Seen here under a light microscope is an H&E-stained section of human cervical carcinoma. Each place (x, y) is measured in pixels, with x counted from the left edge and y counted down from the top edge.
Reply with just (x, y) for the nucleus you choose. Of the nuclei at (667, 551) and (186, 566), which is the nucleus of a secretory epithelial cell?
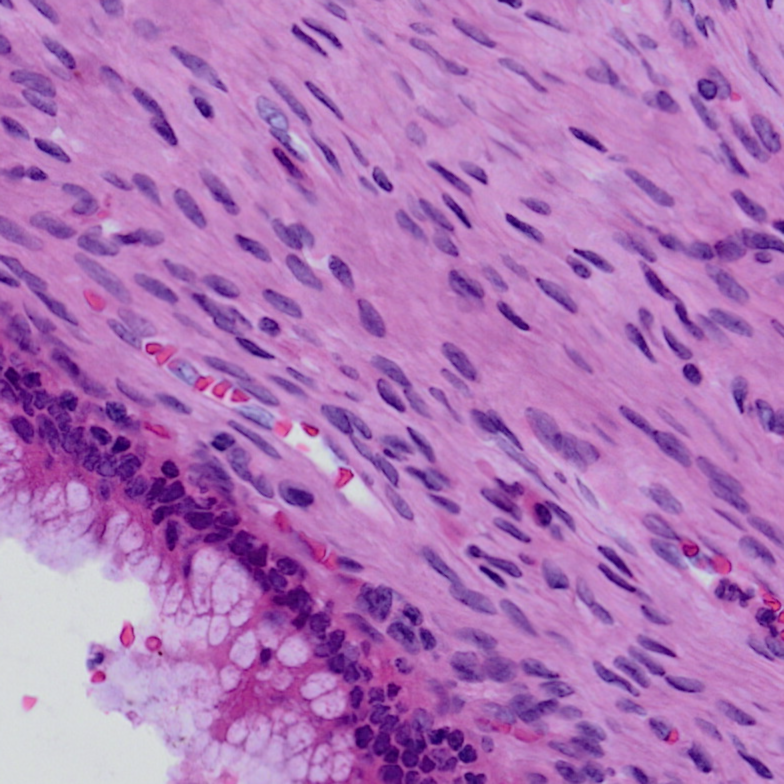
(186, 566)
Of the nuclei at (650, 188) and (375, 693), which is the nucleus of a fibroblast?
(650, 188)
